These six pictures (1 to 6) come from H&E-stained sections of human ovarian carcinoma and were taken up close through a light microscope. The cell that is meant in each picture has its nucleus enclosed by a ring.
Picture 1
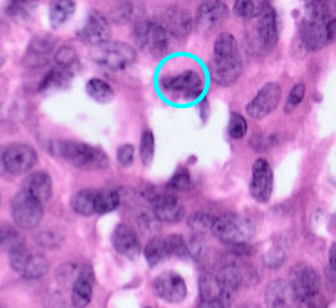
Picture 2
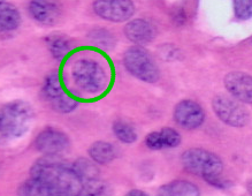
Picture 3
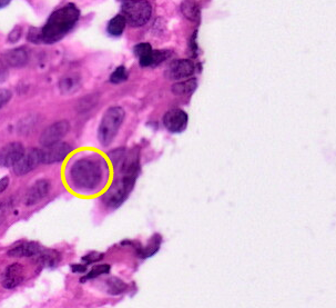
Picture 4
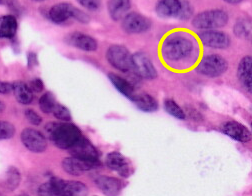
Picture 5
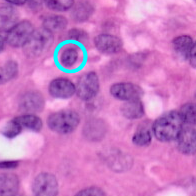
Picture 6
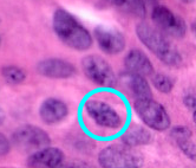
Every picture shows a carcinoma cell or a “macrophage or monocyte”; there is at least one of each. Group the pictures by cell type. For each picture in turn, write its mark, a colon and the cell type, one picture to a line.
1: macrophage or monocyte
2: carcinoma cell
3: carcinoma cell
4: carcinoma cell
5: macrophage or monocyte
6: macrophage or monocyte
